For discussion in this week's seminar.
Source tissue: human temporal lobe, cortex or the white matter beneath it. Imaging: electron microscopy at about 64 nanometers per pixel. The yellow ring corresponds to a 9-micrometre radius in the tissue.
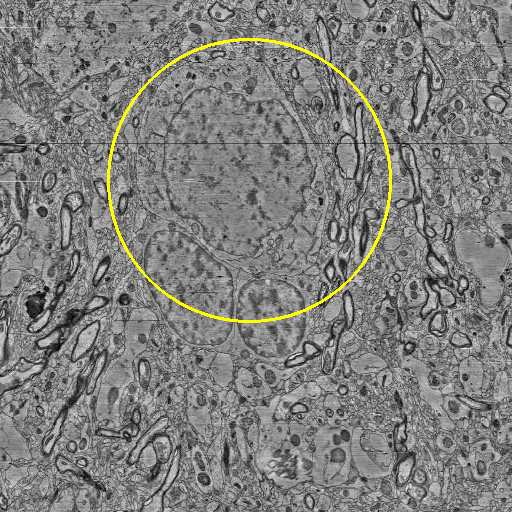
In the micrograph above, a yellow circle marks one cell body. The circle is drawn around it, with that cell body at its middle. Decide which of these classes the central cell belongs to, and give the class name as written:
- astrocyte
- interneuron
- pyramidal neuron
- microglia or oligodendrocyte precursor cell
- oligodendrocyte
interneuron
